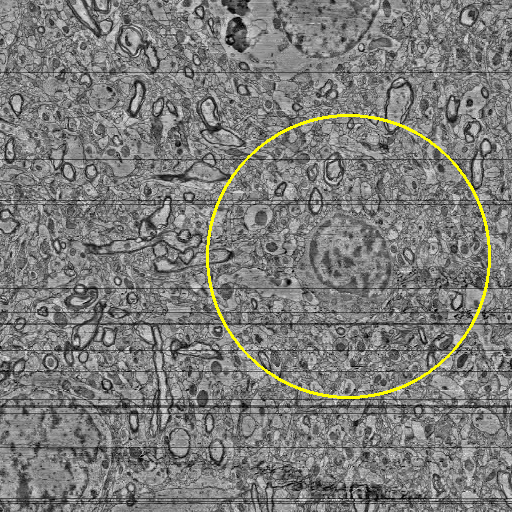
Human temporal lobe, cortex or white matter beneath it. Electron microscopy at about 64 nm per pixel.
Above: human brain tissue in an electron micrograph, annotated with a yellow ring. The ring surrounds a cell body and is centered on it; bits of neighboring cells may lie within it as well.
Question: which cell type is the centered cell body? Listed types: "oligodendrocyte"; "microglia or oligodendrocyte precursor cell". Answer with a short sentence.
The centered cell body is an oligodendrocyte.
